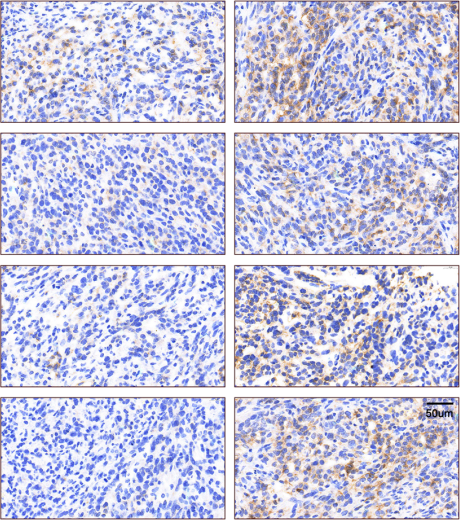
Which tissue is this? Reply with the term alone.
Tumors.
